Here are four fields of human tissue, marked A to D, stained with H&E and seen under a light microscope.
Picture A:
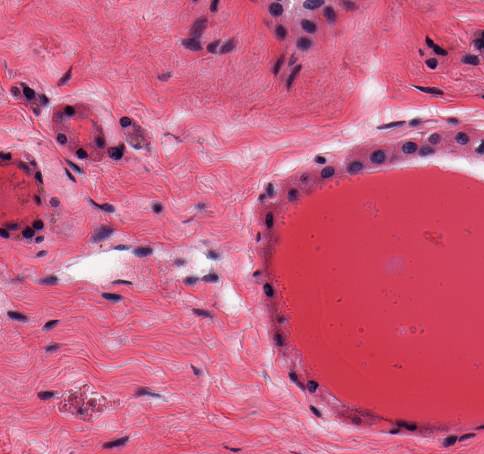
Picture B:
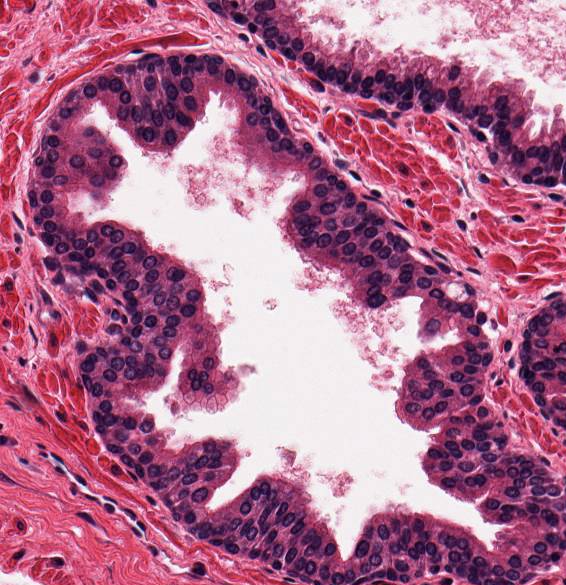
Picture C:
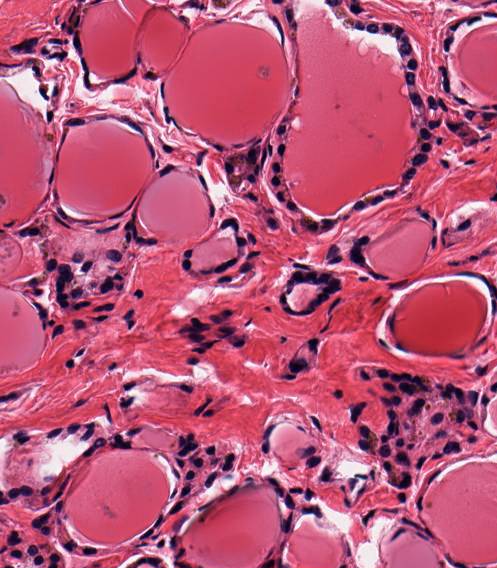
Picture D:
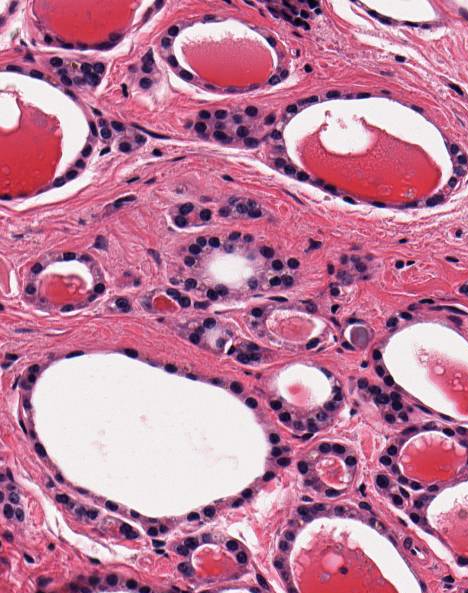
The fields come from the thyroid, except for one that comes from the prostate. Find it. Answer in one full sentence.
Picture B is the field that comes from the prostate.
